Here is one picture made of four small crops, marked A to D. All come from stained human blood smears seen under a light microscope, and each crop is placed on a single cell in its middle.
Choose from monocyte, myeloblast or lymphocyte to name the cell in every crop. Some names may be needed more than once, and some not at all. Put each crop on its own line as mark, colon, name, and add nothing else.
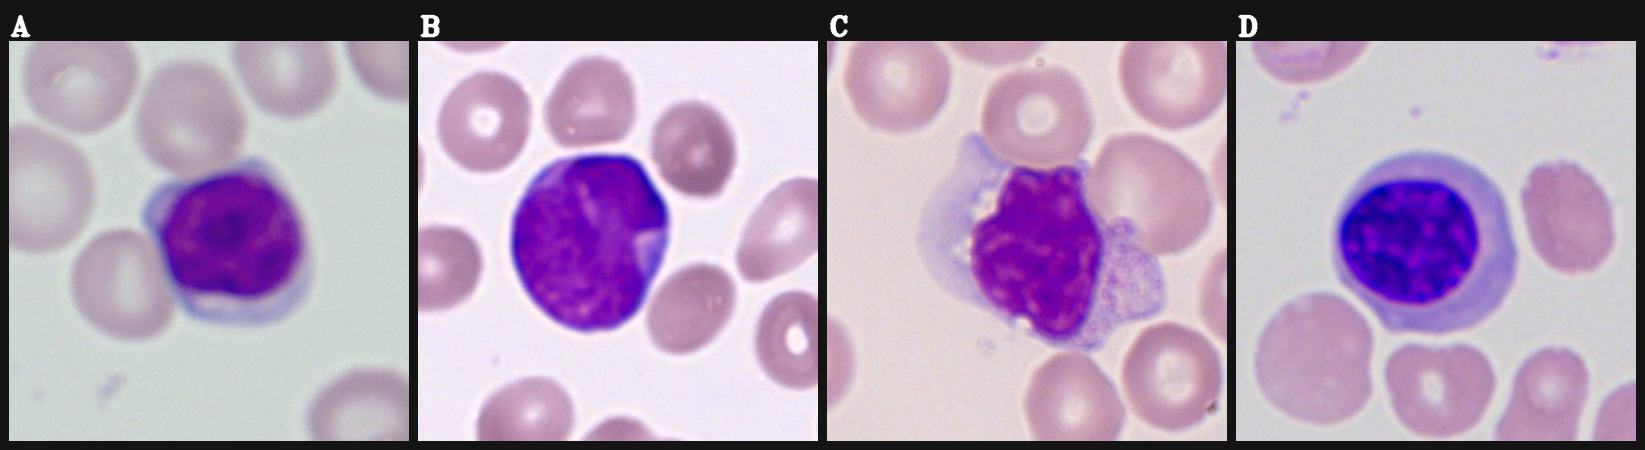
A: lymphocyte
B: myeloblast
C: monocyte
D: lymphocyte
